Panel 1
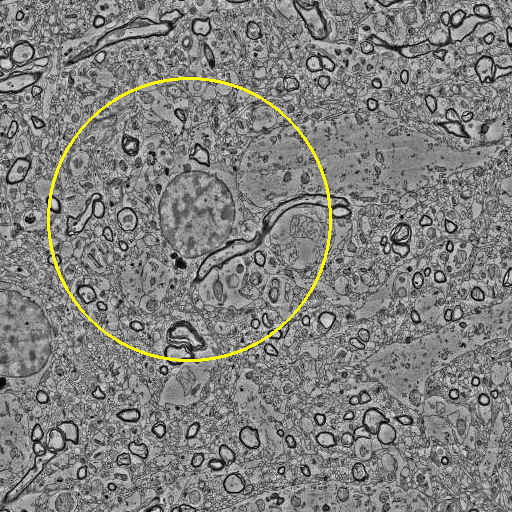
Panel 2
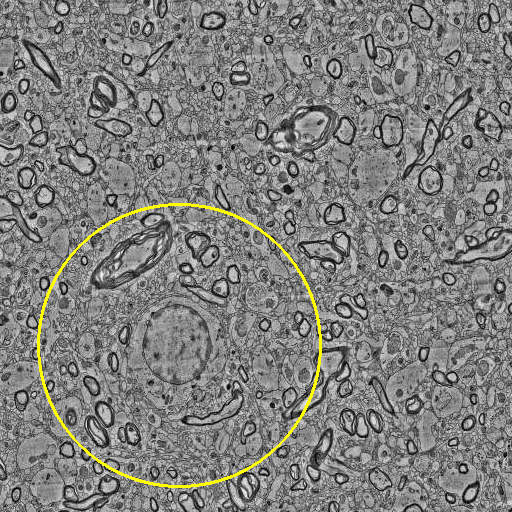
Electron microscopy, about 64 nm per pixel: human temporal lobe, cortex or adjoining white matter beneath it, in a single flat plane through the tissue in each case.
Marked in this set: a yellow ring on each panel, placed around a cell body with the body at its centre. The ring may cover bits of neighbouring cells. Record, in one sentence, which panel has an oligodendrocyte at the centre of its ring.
Panel 1 has it at the centre of its ring.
